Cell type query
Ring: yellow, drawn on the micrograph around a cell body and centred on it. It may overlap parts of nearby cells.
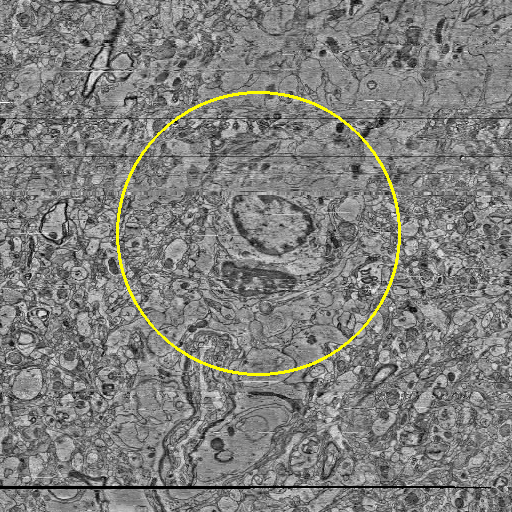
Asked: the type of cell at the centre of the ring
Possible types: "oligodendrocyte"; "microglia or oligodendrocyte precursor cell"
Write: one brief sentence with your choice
The ring marks a microglial cell or oligodendrocyte precursor cell.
